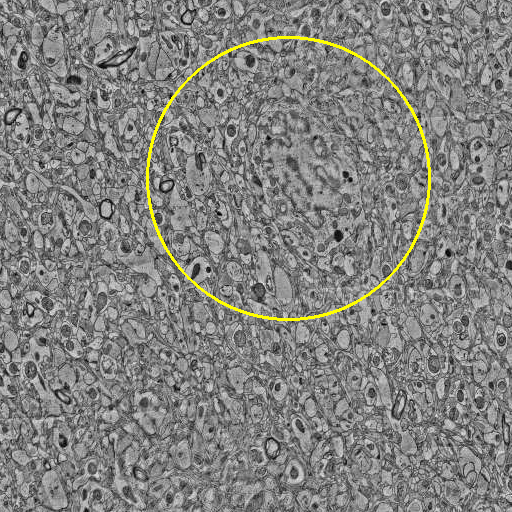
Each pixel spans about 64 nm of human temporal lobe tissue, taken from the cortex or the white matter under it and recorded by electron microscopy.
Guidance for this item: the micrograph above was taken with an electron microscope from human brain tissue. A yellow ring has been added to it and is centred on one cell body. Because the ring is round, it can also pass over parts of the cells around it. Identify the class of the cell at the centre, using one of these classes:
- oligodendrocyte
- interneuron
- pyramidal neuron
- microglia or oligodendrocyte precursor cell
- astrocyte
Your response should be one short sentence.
The ring surrounds the body of an interneuron.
